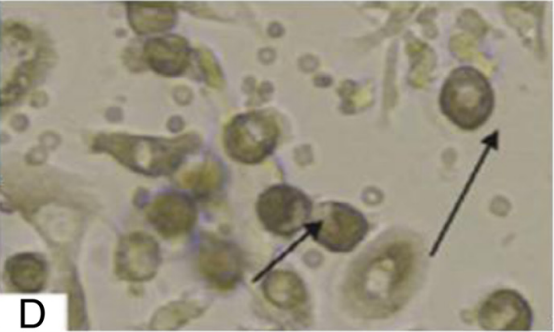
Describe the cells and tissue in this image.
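Small round refractile bodies are scattered between the cells. In the background some flatter, spread-out cells with less distinct outlines can be made out. The cells do not form a continuous sheet but lie loosely across the field.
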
